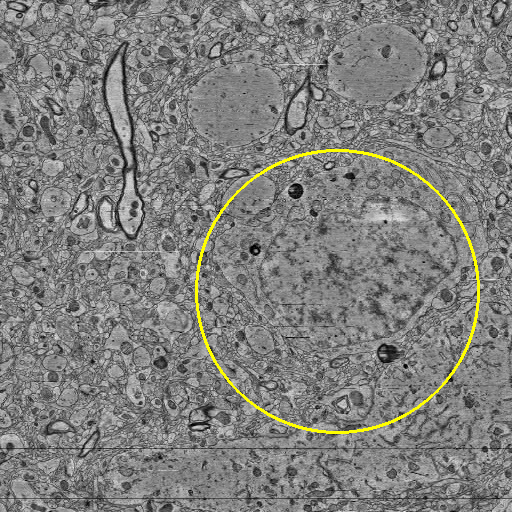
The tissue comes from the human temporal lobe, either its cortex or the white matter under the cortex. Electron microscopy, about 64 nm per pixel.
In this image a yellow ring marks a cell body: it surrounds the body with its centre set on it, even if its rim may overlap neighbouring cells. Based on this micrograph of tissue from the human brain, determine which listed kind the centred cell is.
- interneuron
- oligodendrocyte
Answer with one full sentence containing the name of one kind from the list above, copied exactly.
It is an interneuron whose body the yellow ring encloses at its centre.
